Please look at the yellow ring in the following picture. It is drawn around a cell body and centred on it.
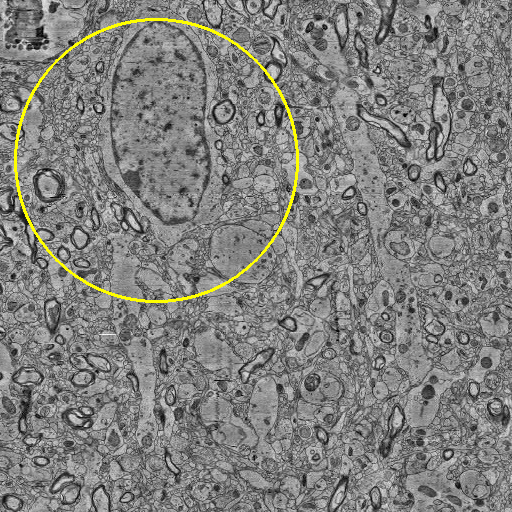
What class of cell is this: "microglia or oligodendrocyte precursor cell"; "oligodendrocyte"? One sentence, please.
The ring surrounds the cell body of a microglial cell or oligodendrocyte precursor cell.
